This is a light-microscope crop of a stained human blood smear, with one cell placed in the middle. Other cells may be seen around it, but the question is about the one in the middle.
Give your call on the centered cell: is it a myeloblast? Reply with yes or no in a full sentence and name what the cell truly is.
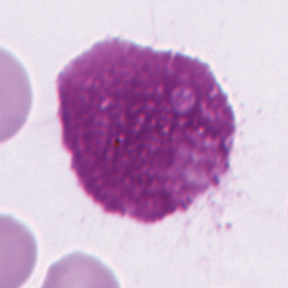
No, the middle of the crop holds a smudge cell, not a myeloblast.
